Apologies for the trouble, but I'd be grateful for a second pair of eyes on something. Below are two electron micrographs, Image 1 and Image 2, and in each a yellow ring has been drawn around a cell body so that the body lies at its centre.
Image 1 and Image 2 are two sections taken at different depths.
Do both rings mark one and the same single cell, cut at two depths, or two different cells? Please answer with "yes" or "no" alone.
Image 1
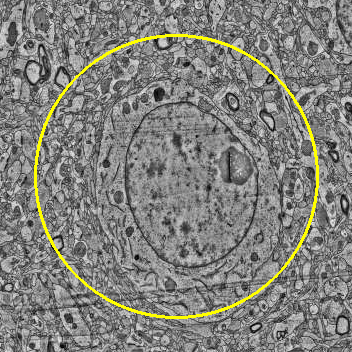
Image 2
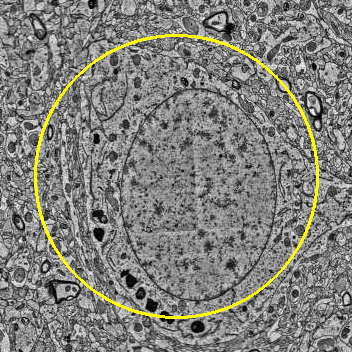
yes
